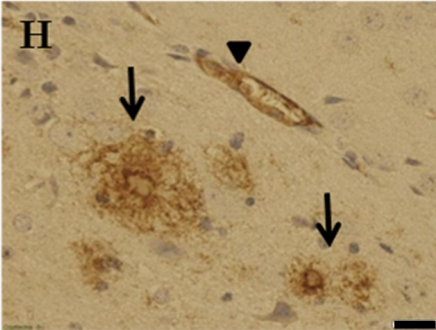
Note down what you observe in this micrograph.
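Brain parenchyma with scattered blue nuclei contains several rounded, granular brown deposits with fuzzy edges, some with a denser central core. A narrow elongated blood vessel crossing the upper part of the field has a brown-stained wall.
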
